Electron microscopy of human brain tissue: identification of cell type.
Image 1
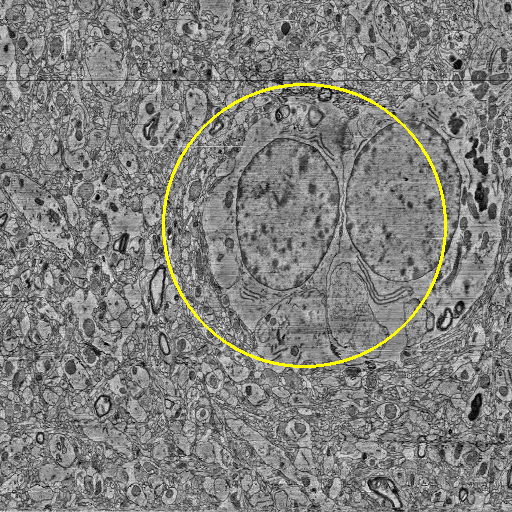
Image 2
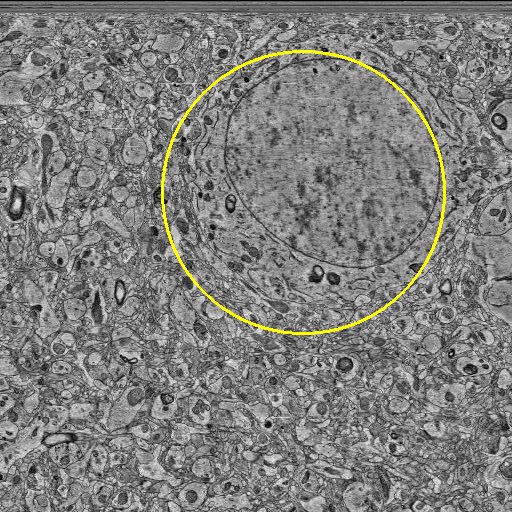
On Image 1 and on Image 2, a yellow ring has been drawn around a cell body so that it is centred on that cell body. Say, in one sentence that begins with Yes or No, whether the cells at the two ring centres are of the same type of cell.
No, the two cells are two separate types of cell.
